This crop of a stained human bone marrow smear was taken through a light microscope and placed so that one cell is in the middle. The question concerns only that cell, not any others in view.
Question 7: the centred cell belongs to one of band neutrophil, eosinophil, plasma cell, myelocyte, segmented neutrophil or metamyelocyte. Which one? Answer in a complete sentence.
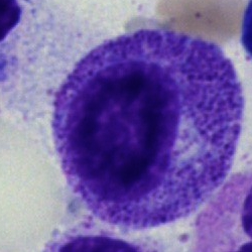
Centred in the crop is a myelocyte.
